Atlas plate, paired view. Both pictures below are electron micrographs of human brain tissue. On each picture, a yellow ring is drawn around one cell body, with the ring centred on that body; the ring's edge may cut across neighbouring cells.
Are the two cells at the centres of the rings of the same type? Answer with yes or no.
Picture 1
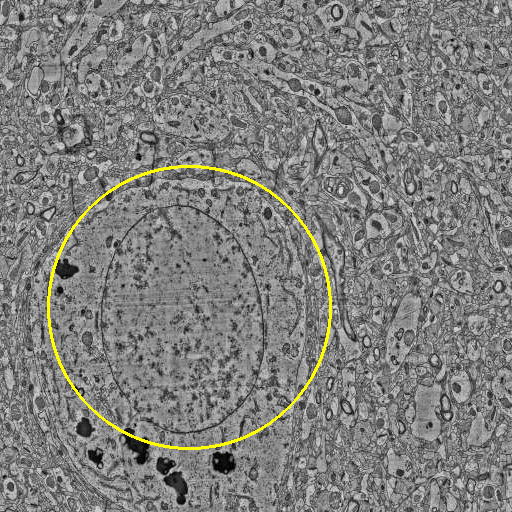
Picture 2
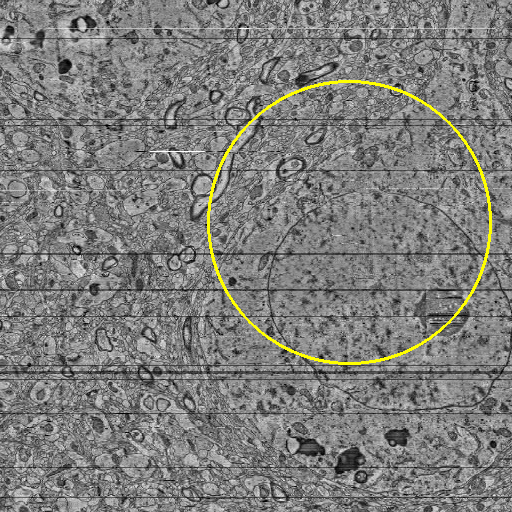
yes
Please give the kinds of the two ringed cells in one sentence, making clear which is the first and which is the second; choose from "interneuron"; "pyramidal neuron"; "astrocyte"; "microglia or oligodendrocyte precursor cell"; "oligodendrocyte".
The first and the second cell are each a pyramidal neuron.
